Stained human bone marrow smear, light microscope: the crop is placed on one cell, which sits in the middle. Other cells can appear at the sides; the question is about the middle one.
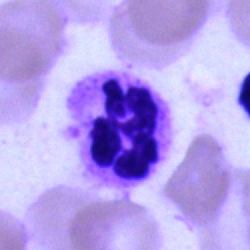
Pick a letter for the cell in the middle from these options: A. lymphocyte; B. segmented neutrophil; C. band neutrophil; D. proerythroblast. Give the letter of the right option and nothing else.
B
